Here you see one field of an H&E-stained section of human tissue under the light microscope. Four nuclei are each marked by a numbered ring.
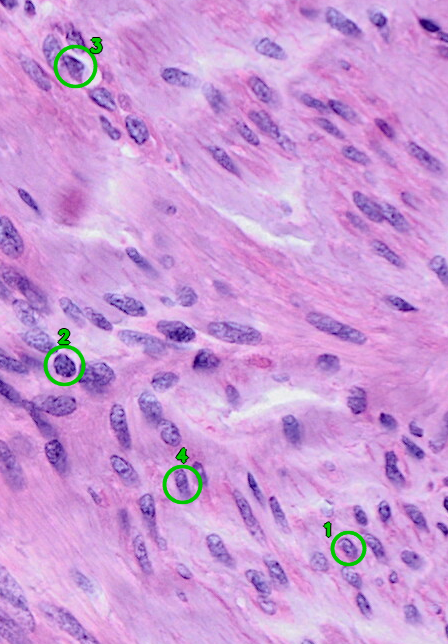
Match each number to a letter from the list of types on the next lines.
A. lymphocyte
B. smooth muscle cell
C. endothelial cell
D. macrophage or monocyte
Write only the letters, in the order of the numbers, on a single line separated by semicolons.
B; A; C; B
